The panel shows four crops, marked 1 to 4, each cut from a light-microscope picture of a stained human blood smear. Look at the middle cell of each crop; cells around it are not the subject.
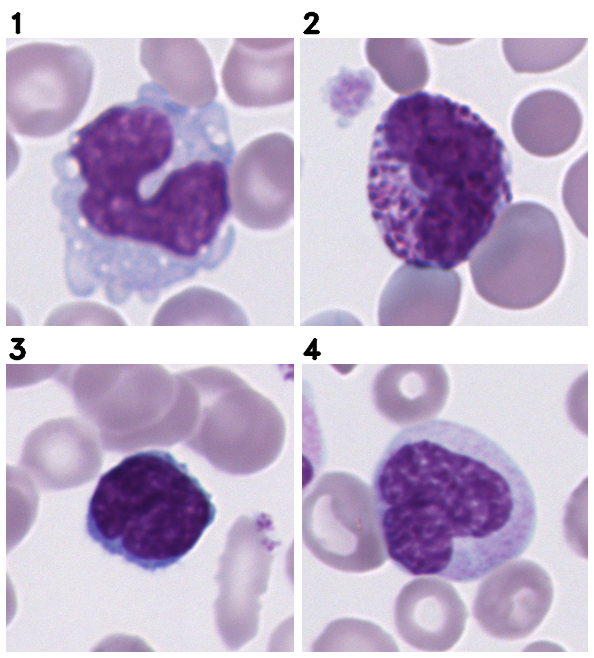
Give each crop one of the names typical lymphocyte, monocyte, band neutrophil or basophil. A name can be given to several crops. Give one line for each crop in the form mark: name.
1: monocyte
2: basophil
3: typical lymphocyte
4: band neutrophil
